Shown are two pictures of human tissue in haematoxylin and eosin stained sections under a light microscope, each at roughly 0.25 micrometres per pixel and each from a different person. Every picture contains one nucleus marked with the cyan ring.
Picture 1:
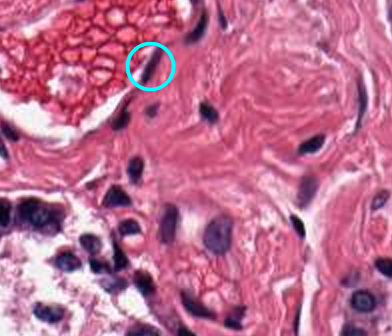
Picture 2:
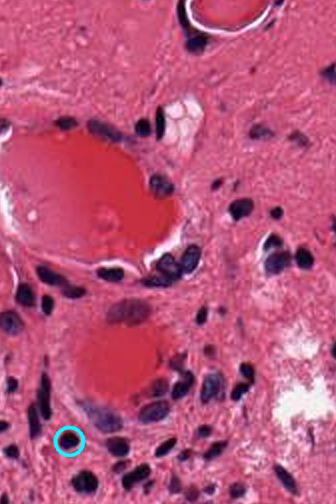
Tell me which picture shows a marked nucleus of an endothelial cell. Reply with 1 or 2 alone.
1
